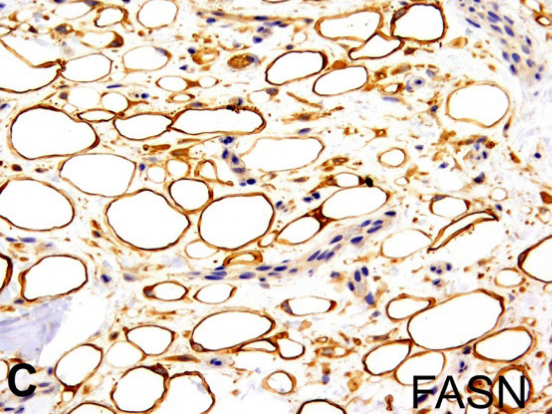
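Adipose tissue of fat cells that vary markedly in size and shape, from small round vacuoles to large oval and irregular ones. Each cell is an optically empty vacuole outlined by a thin brown-stained rim of cytoplasm, with a few flattened blue nuclei at the margins. Between the fat cells lie strands of stroma with scattered blue spindle-shaped nuclei and some brown-stained cytoplasm.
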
